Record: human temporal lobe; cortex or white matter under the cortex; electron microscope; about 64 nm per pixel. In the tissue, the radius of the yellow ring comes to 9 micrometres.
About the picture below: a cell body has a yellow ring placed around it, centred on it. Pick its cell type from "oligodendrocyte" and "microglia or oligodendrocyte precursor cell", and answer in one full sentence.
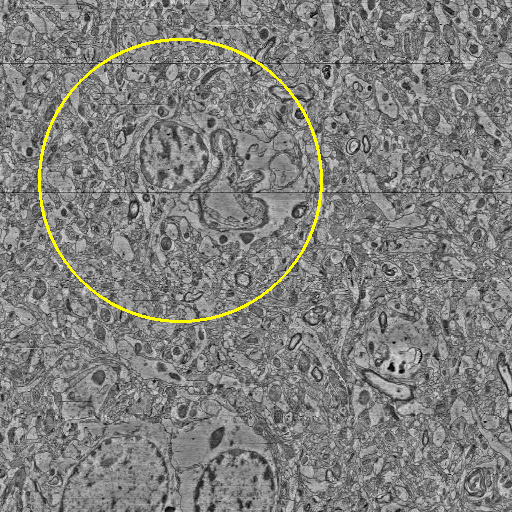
In the picture, a microglial cell or oligodendrocyte precursor cell is the cell sitting at the centre of the yellow ring.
